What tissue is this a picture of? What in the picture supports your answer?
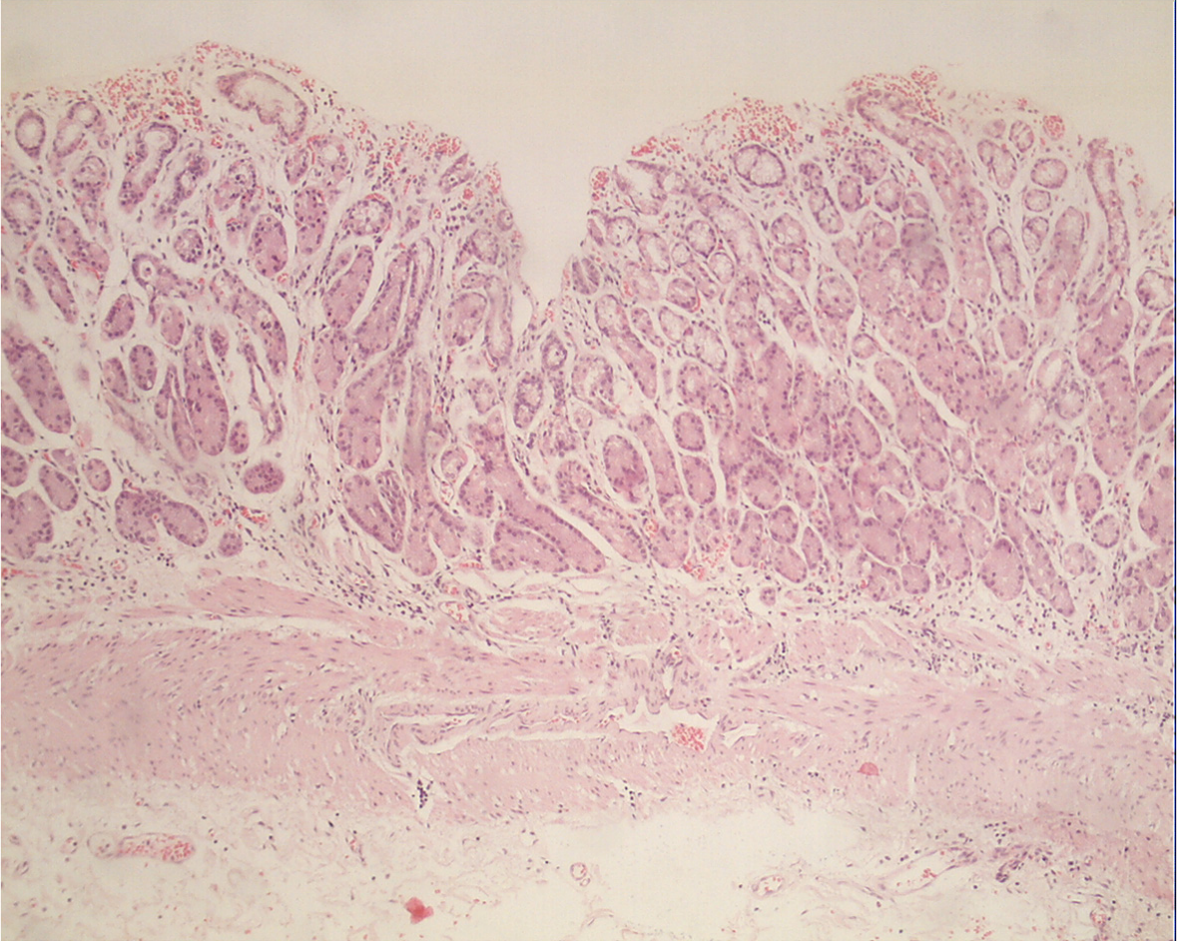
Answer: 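Closely packed tubular glands fill the upper two thirds of the section. The gland cells have pink cytoplasm and round, dark nuclei. Thin strands of loose connective tissue lie between the glands. Some glands near the surface are lined by paler, mucus-type columnar cells.
Hence: gastric mucosa.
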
